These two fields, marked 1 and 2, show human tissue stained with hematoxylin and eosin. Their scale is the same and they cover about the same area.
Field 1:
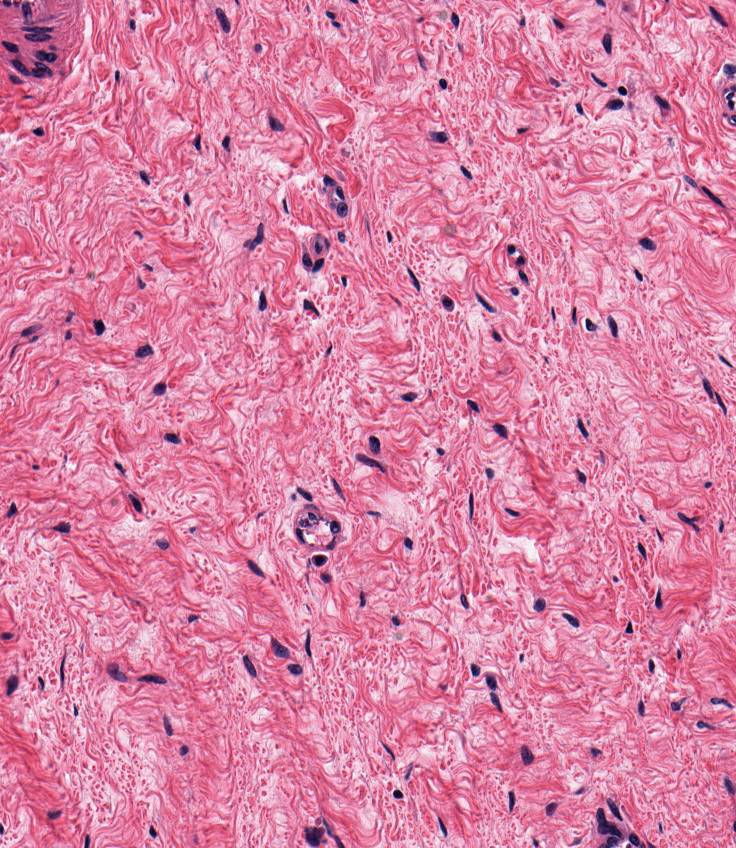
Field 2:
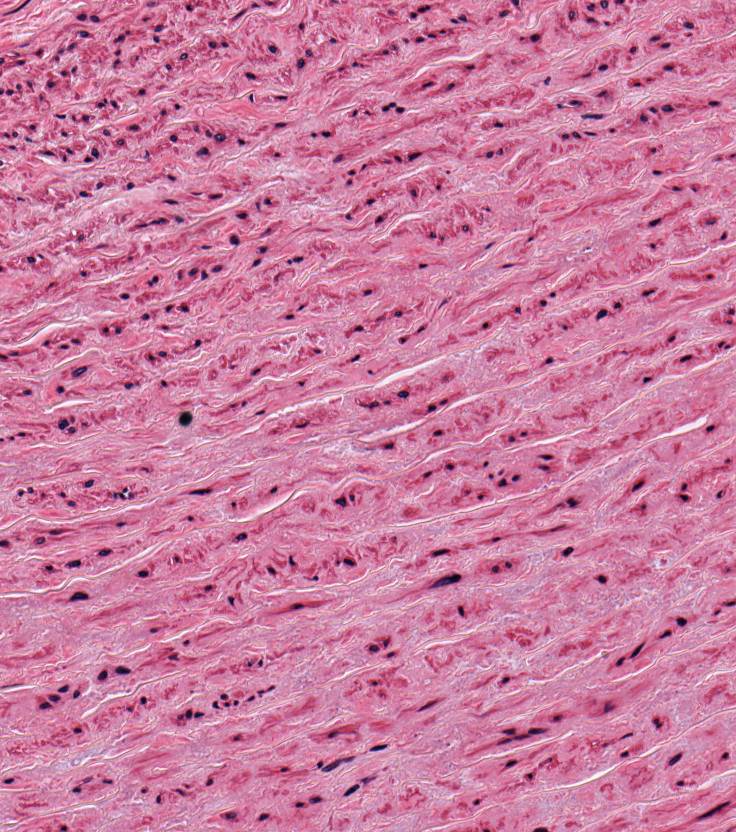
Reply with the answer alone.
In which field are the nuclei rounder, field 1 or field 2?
2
